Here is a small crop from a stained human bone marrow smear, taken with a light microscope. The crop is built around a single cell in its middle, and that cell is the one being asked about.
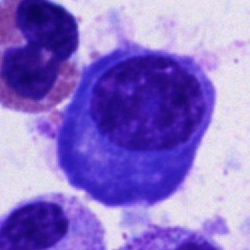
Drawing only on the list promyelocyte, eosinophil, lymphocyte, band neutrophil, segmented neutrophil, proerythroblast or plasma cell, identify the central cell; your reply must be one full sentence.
The cell at the middle of the frame should be recorded as a plasma cell.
